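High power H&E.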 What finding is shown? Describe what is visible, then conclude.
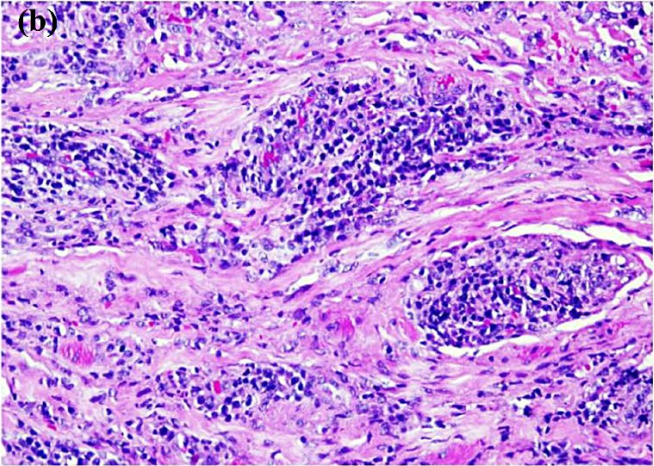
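Perivascular plasmacytic infiltrates. Dense clusters of round cells surround small vessels. The clusters lie in pink fibrous stroma.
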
